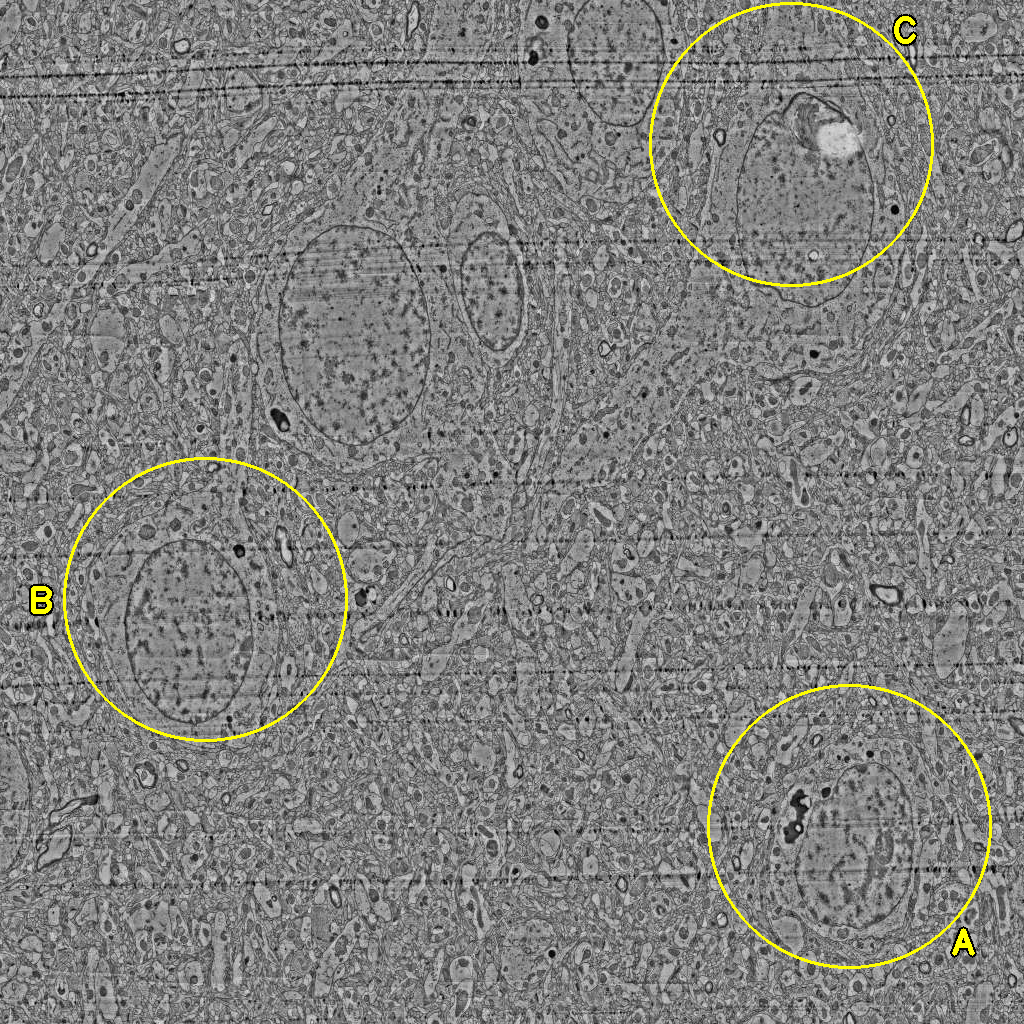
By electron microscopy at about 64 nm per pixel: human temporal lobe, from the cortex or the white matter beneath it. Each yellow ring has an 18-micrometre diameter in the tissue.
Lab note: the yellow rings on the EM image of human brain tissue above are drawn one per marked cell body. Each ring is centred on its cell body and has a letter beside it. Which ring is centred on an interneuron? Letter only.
A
